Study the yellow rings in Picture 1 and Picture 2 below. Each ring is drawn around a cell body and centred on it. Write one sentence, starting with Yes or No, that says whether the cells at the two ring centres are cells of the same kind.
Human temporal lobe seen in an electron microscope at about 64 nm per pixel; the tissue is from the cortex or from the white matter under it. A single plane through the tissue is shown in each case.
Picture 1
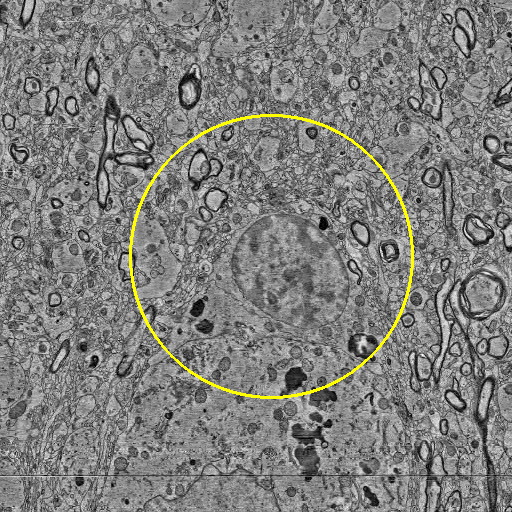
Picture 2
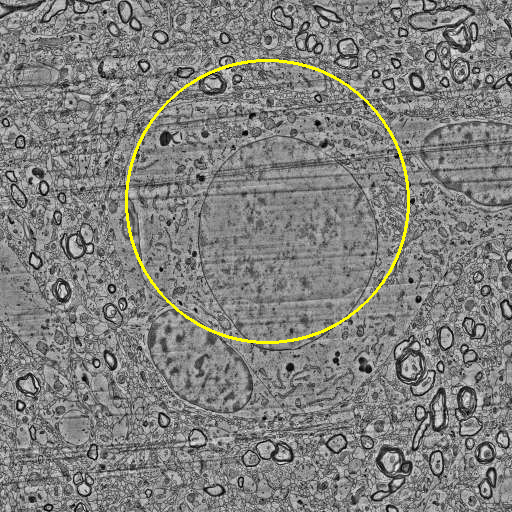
No, the cells at the ring centres are of two kinds.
